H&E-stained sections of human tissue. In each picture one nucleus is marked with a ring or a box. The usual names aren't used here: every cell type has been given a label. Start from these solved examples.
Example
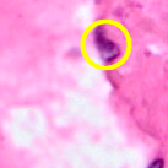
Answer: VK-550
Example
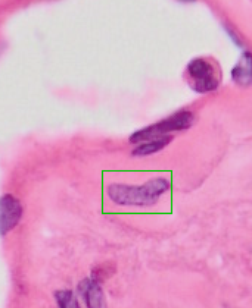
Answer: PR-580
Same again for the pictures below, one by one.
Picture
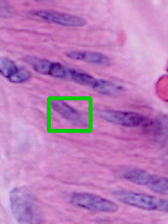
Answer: VK-550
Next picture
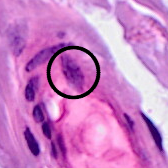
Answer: VK-550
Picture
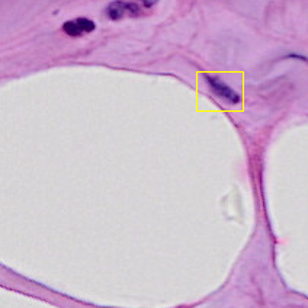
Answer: PR-580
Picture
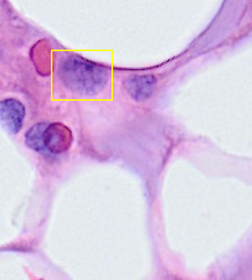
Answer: VK-550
